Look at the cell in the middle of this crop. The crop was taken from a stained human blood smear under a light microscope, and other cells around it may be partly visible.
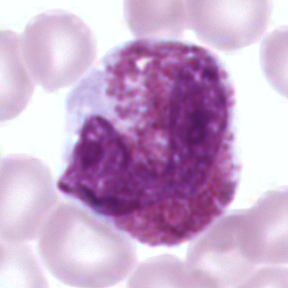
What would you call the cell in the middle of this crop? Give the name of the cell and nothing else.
eosinophil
